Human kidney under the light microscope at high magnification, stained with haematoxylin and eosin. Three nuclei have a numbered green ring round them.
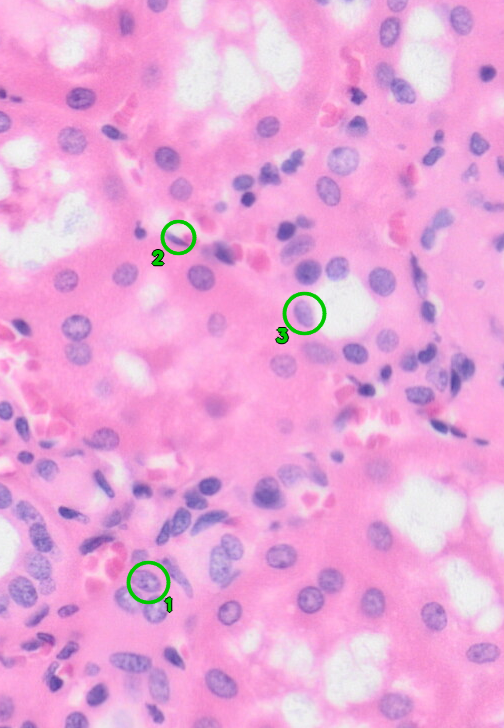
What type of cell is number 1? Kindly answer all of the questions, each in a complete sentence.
The identity of cell 1 is that of a collecting duct cell.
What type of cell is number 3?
The cell that is numbered 3 is a collecting duct cell.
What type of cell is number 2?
Identified by the number 2, the cell is an endothelial cell.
